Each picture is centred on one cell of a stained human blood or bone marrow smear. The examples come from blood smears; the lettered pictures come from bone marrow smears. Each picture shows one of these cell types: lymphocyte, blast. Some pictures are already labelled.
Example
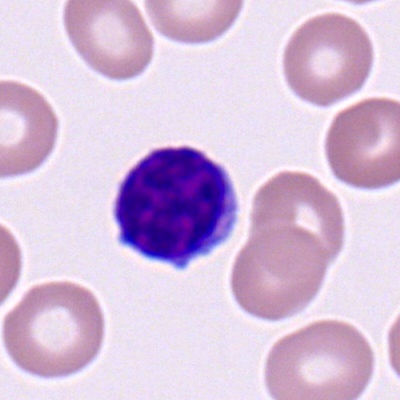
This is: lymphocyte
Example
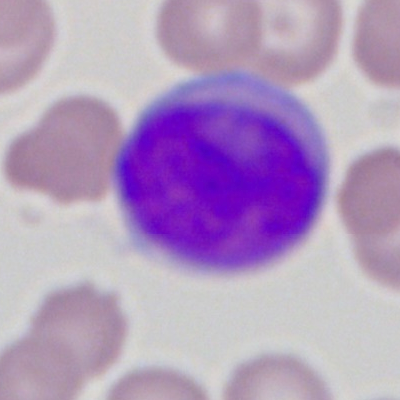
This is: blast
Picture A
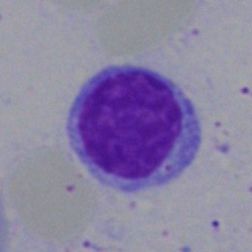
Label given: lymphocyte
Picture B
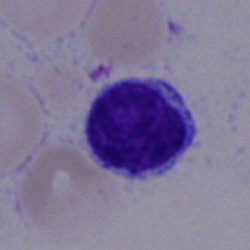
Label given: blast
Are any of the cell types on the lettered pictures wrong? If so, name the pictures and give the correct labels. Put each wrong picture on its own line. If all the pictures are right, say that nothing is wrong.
B: not blast but lymphocyte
